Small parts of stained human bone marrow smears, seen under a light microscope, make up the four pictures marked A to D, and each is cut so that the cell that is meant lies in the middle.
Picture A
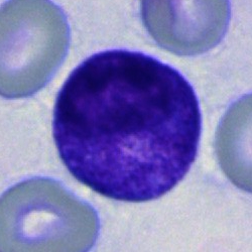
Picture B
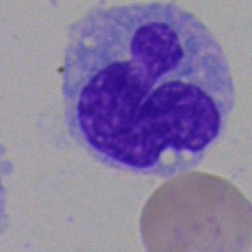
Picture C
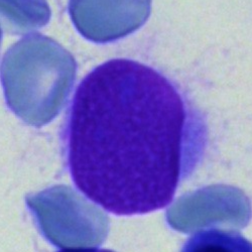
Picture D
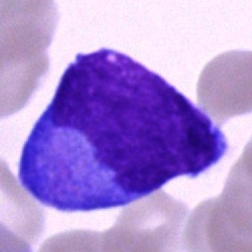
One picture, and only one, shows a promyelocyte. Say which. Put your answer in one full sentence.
The cell in picture A is the promyelocyte.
